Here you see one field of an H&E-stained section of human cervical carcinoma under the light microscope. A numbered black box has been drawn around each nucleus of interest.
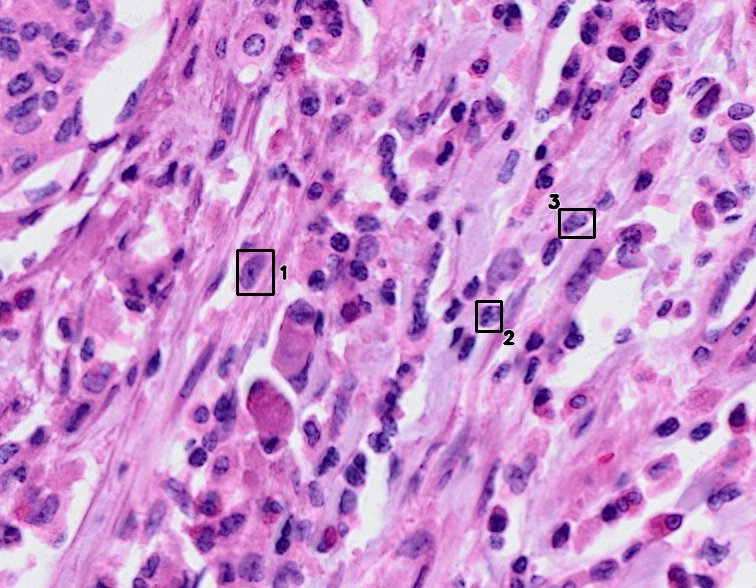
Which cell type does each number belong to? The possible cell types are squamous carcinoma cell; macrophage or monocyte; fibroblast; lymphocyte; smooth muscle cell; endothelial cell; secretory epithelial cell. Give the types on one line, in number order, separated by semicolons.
macrophage or monocyte; lymphocyte; lymphocyte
